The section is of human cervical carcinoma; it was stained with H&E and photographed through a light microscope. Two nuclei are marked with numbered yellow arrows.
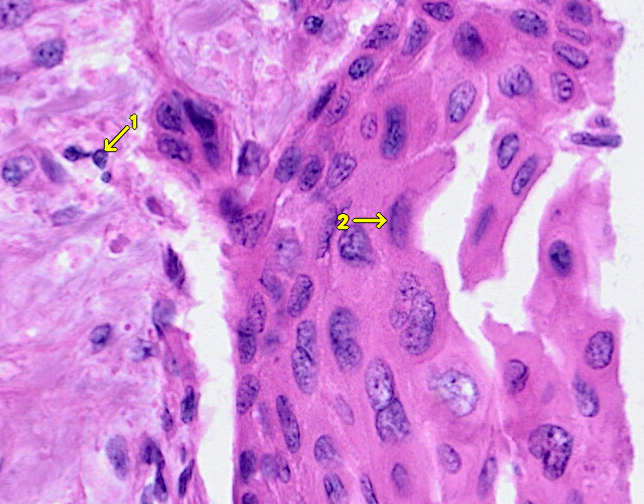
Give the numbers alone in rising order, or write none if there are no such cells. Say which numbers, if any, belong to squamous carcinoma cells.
2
